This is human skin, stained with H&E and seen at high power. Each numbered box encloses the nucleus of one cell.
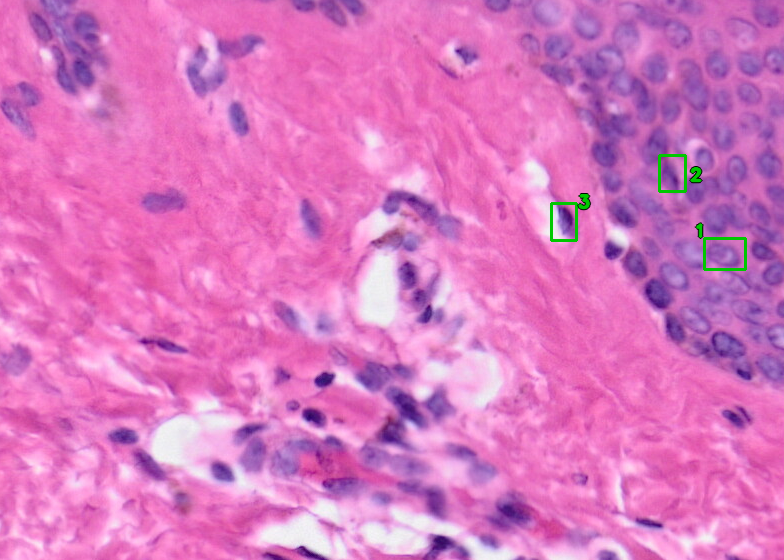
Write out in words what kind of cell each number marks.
Cell 1 is a suprabasal keratinocyte. Cell 2 is a basal keratinocyte. Cell 3 is a fibroblast.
